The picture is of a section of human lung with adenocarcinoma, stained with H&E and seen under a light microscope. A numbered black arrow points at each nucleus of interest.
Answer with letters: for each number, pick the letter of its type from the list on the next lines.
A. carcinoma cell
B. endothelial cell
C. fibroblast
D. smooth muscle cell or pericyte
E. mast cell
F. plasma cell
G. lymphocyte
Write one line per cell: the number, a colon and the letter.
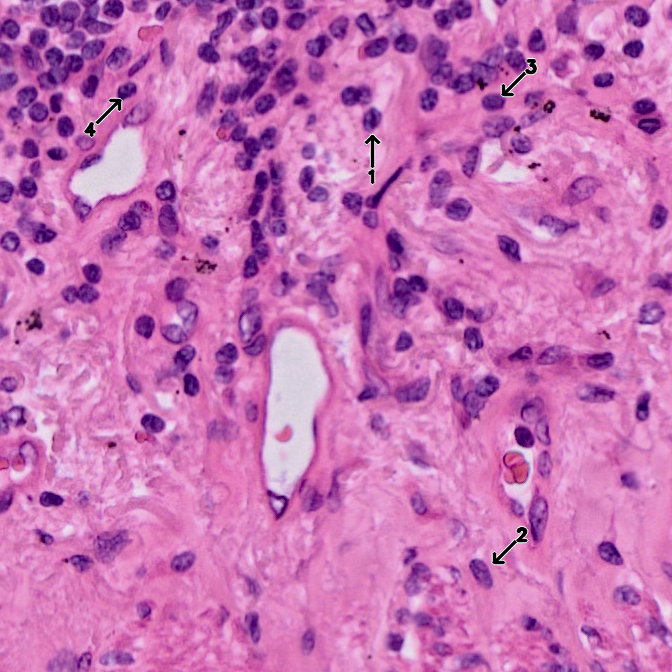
1: G
2: E
3: G
4: G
